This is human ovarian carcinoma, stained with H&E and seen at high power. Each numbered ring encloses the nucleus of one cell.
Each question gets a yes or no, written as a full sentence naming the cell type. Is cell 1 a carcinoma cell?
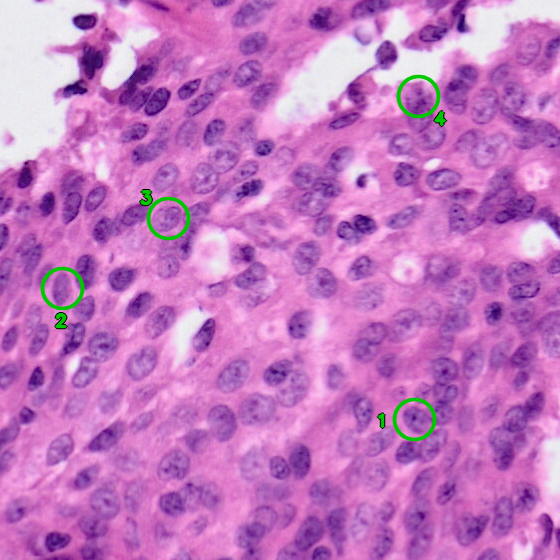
No, instead of a carcinoma cell, the cell with number 1 is a macrophage or monocyte.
